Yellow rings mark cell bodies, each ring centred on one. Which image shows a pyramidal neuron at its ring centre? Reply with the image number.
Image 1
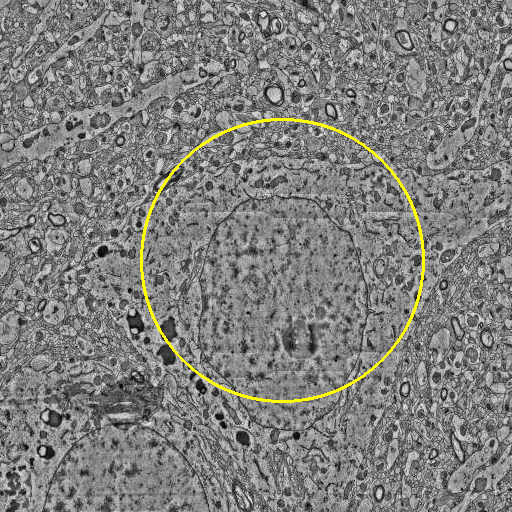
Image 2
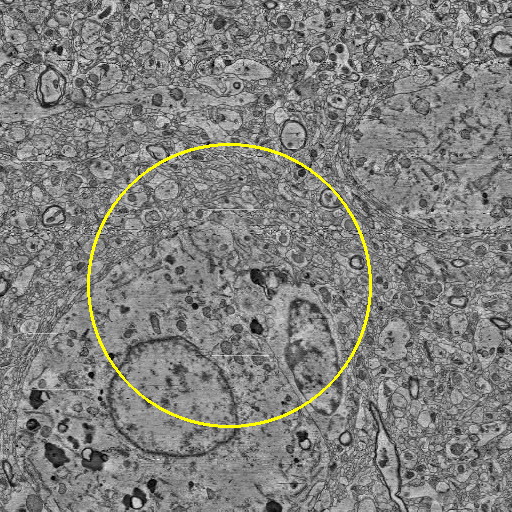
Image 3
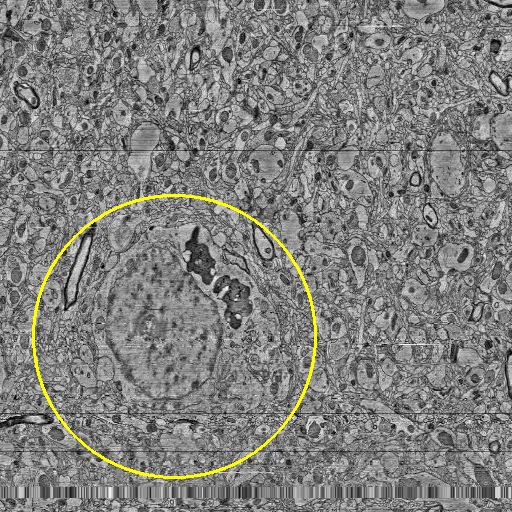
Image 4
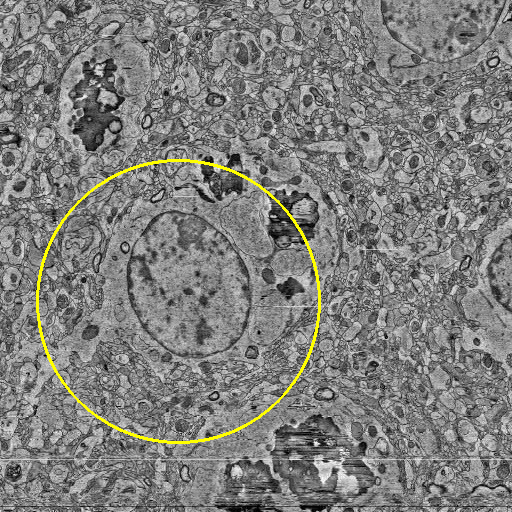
1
